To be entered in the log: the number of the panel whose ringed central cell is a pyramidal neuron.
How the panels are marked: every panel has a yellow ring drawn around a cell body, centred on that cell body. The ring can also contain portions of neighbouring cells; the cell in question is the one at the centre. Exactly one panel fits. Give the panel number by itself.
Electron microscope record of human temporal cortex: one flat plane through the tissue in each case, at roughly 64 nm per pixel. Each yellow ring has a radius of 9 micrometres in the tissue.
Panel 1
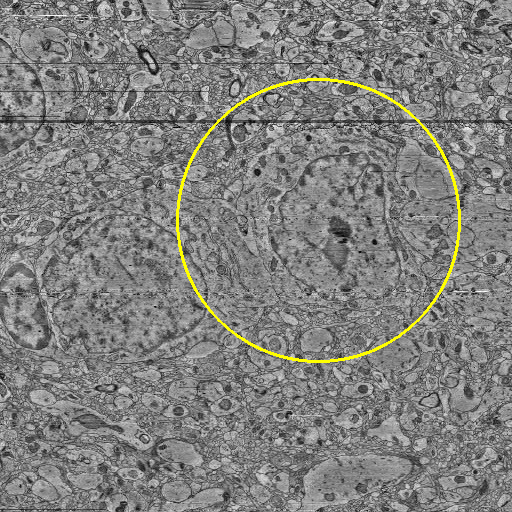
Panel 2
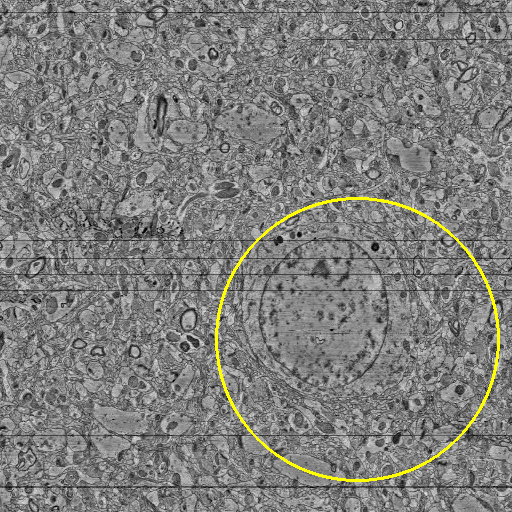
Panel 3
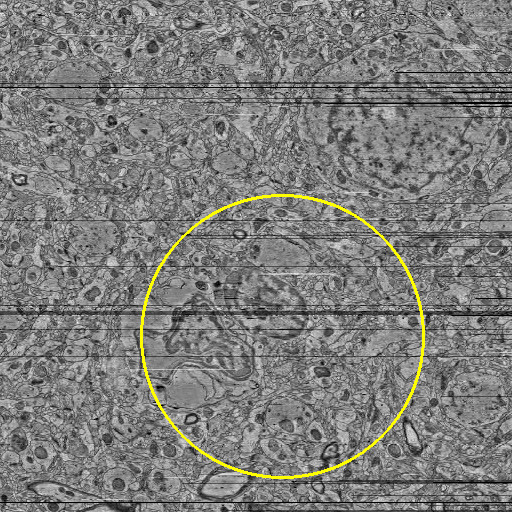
2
